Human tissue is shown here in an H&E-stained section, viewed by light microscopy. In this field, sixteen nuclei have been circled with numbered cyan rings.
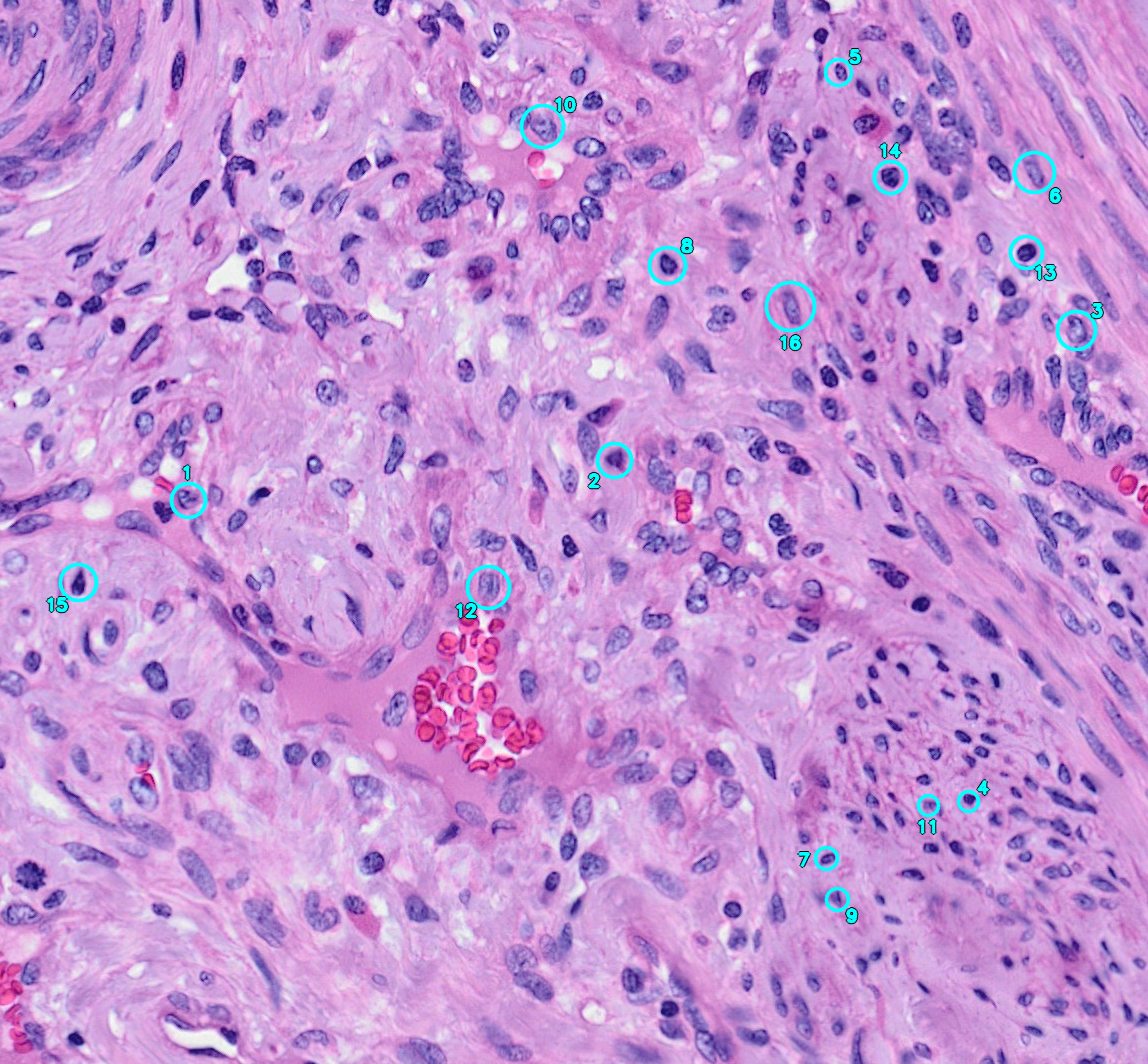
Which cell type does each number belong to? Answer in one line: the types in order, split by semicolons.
endothelial cell; lymphocyte; endothelial cell; smooth muscle cell; lymphocyte; smooth muscle cell; smooth muscle cell; lymphocyte; smooth muscle cell; endothelial cell; smooth muscle cell; endothelial cell; lymphocyte; lymphocyte; lymphocyte; smooth muscle cell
